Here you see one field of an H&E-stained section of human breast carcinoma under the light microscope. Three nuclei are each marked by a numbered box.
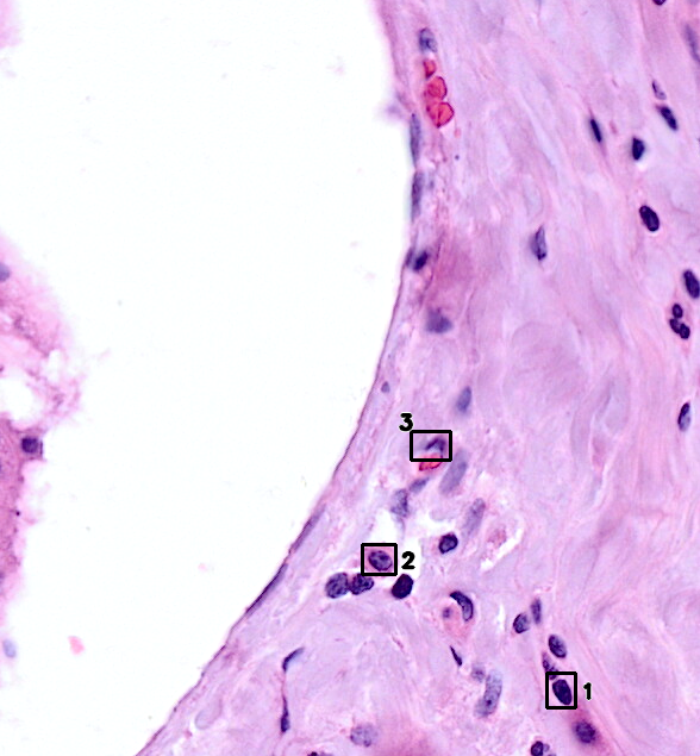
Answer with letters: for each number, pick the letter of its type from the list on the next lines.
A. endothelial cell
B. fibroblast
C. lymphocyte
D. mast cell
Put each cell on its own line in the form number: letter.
1: C
2: D
3: A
